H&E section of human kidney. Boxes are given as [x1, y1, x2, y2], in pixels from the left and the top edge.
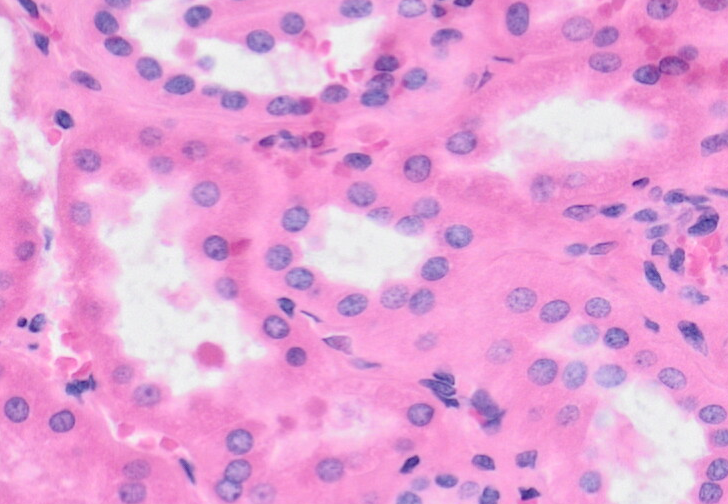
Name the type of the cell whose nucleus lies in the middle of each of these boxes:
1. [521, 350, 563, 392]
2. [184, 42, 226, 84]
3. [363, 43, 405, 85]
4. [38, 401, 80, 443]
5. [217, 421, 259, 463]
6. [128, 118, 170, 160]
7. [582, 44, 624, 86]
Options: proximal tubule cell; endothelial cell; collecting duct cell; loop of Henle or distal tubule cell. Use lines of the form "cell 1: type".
cell 1: loop of Henle or distal tubule cell
cell 2: loop of Henle or distal tubule cell
cell 3: loop of Henle or distal tubule cell
cell 4: proximal tubule cell
cell 5: proximal tubule cell
cell 6: proximal tubule cell
cell 7: proximal tubule cell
